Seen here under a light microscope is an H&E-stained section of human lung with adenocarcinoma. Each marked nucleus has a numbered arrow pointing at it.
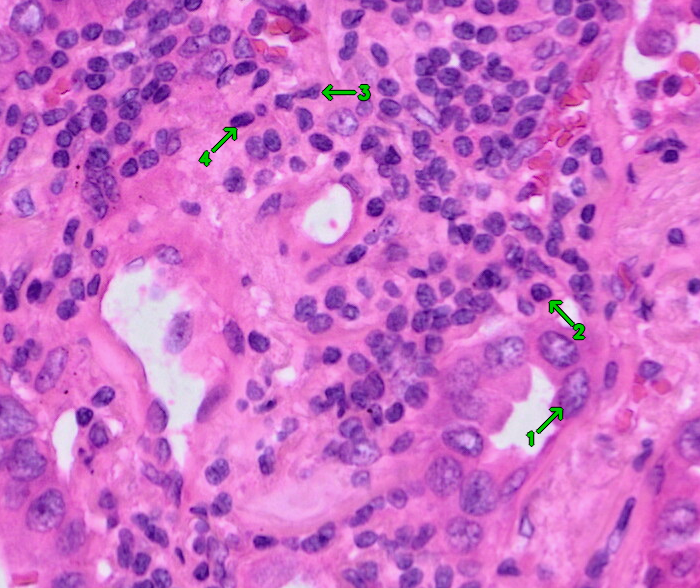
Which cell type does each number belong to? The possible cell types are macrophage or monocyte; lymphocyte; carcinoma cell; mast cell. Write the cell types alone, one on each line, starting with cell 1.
carcinoma cell
lymphocyte
lymphocyte
lymphocyte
